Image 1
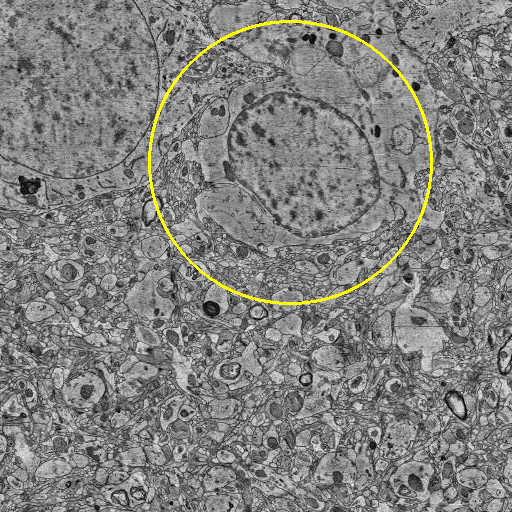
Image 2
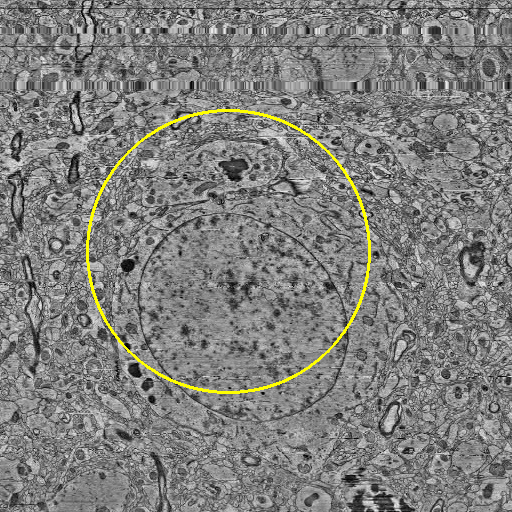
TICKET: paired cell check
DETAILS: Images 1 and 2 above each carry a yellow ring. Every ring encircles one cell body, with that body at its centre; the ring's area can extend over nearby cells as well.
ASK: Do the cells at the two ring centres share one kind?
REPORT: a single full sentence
No, the ring-centre cells of Images 1 and 2 belong to two kinds.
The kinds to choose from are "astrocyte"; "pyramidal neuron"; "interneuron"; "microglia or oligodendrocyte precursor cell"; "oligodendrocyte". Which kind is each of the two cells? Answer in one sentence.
Of the two, the first cell is an astrocyte and the second cell is a pyramidal neuron.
